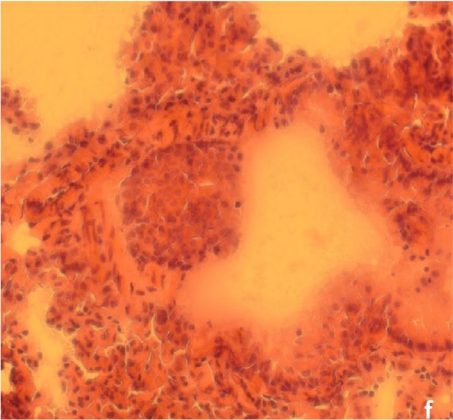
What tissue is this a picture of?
Lung.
